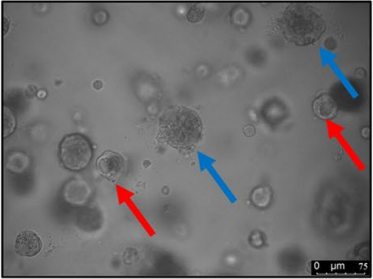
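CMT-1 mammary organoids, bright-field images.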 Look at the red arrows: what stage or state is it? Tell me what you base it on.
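The marked structures are rounded with a thin outer rim. Their centres look lighter than the filled organoids nearby.
Hence: cystic.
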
